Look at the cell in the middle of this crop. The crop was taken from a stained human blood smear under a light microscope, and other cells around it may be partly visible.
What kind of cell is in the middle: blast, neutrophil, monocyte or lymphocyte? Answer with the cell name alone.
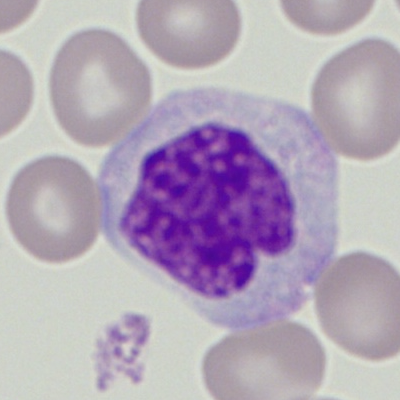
monocyte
